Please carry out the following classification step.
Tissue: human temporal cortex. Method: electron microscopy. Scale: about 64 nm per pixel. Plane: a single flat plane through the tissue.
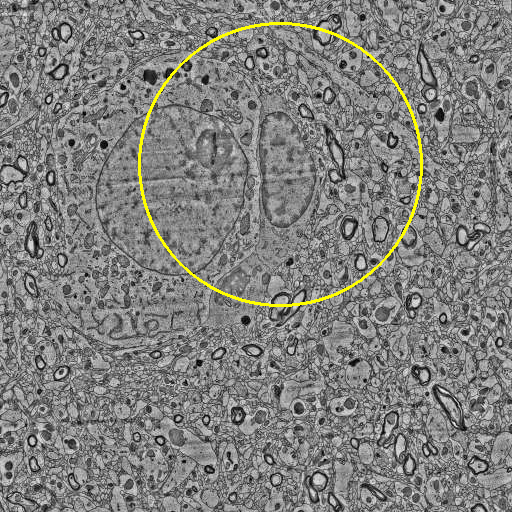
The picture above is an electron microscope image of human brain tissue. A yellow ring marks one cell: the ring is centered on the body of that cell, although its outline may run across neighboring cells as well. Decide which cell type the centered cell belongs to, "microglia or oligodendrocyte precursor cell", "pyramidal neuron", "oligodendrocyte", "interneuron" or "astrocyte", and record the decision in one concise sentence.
The cell centered in the yellow ring is an oligodendrocyte.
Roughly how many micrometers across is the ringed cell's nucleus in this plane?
About 7 micrometres by about 4 micrometres in this plane.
